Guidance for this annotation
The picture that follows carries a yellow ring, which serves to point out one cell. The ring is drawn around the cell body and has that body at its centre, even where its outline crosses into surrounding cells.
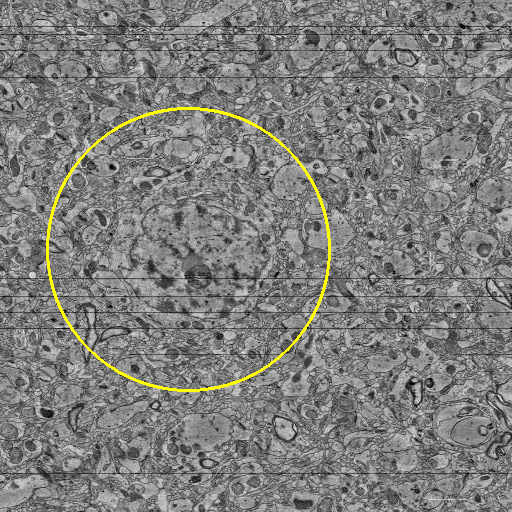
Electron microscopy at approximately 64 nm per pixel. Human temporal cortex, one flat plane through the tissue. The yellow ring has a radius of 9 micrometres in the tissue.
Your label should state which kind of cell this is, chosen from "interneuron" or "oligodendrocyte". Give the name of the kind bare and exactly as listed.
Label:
interneuron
